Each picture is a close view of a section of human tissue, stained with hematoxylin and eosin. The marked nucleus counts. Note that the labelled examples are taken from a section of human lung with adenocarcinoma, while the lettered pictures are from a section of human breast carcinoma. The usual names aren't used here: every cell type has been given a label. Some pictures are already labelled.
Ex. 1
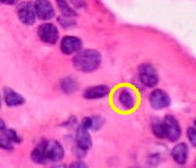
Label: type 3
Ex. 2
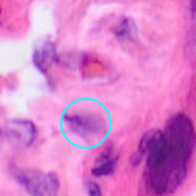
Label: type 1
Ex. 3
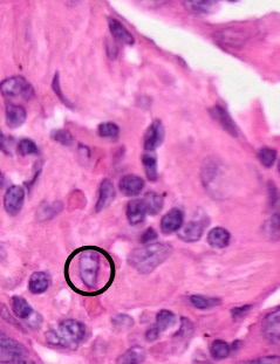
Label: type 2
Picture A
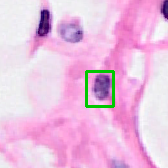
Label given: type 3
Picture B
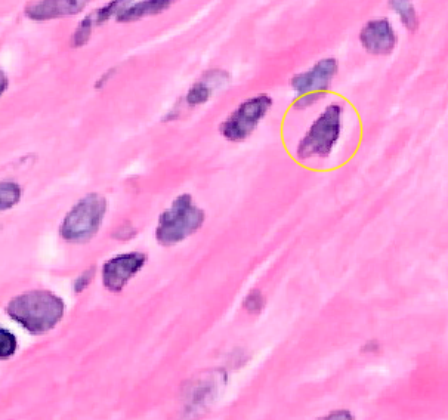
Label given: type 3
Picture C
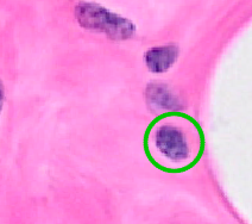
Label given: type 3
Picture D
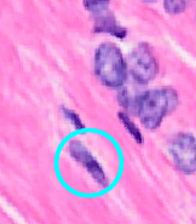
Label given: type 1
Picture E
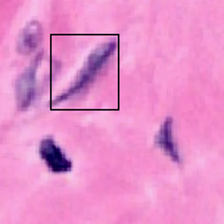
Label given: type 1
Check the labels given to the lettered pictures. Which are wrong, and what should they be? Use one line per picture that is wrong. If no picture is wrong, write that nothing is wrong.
None of the labels needs changing.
